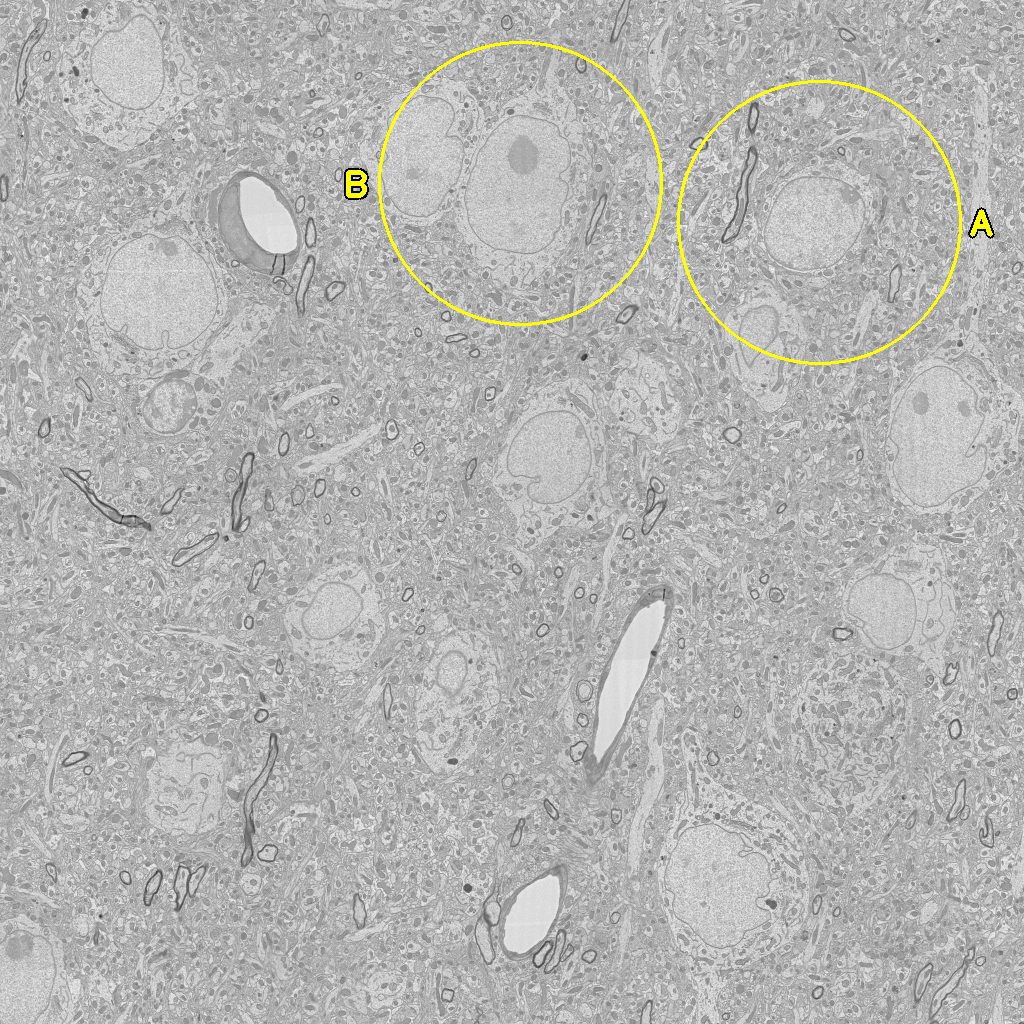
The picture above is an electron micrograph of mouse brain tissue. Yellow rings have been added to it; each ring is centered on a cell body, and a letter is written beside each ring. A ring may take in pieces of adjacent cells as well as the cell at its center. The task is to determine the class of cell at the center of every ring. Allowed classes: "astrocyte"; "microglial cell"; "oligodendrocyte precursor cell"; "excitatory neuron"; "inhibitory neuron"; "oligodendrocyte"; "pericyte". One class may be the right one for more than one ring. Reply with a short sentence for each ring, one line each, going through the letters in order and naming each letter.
Ring A is centered on an astrocyte.
Ring B is centered on an excitatory neuron.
